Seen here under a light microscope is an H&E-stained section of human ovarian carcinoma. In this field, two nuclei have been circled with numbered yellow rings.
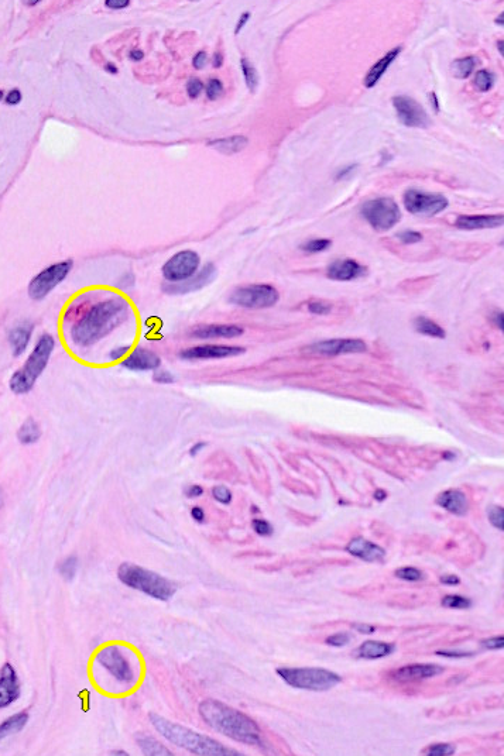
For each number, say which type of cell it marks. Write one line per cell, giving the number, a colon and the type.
1: smooth muscle cell
2: endothelial cell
